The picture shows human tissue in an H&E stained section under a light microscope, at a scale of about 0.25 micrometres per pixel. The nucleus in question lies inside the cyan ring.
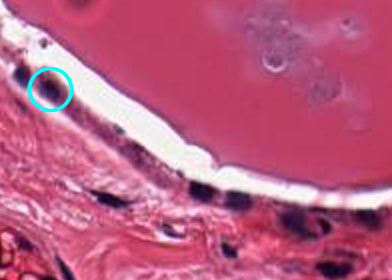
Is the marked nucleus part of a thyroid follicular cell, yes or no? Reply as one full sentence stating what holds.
Yes, the nucleus singled out in the image belongs to a thyroid follicular cell.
